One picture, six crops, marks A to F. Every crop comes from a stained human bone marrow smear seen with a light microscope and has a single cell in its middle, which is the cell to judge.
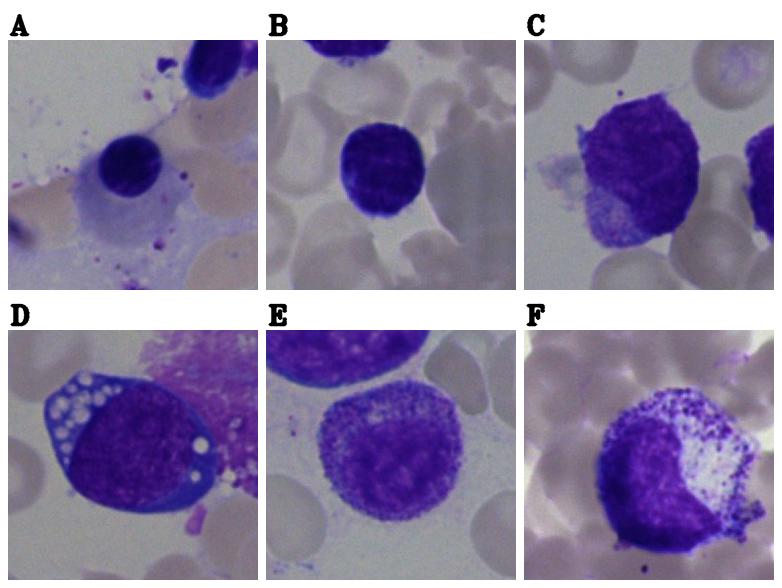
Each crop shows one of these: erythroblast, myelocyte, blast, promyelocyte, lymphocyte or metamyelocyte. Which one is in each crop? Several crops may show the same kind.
A: erythroblast
B: lymphocyte
C: blast
D: blast
E: myelocyte
F: metamyelocyte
